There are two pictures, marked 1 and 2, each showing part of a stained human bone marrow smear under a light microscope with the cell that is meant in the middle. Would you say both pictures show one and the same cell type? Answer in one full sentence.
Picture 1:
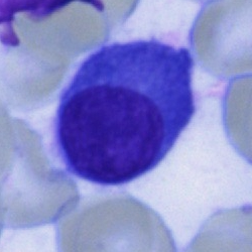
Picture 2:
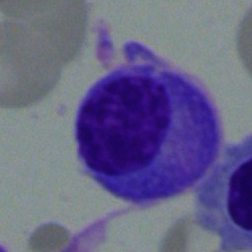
Yes, both cells are plasma cells.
